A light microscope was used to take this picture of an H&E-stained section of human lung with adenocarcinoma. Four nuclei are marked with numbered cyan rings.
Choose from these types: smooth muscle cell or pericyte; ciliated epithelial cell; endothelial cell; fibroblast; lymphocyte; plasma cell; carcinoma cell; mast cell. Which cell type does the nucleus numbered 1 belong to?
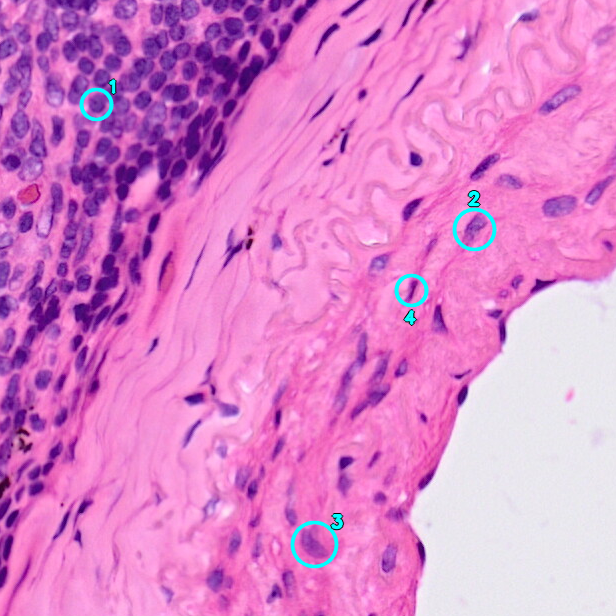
lymphocyte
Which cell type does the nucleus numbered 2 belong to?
smooth muscle cell or pericyte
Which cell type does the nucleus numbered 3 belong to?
smooth muscle cell or pericyte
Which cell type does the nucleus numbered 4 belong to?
smooth muscle cell or pericyte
